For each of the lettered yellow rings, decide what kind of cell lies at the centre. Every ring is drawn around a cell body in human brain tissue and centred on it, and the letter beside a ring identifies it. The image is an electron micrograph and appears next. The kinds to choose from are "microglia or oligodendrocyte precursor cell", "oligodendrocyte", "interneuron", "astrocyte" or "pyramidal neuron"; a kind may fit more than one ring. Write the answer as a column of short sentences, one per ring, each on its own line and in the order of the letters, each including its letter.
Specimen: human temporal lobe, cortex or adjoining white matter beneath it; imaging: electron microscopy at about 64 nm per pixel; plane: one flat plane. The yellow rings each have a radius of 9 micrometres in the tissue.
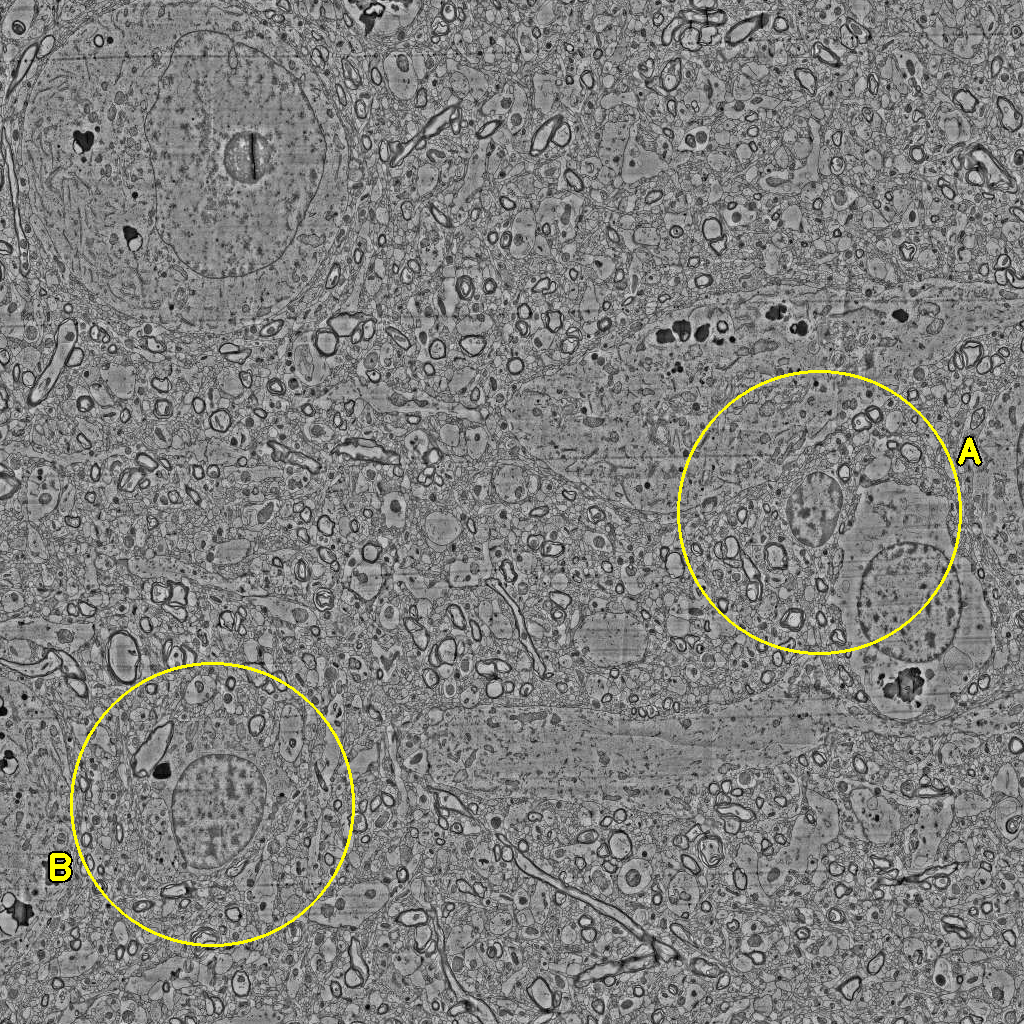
In the centre of ring A lies a microglial cell or oligodendrocyte precursor cell.
In the centre of ring B lies an oligodendrocyte.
